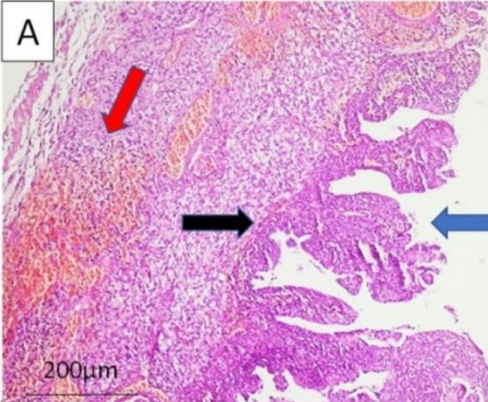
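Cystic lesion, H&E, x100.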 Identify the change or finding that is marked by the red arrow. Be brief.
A: Hemorrhagic foci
